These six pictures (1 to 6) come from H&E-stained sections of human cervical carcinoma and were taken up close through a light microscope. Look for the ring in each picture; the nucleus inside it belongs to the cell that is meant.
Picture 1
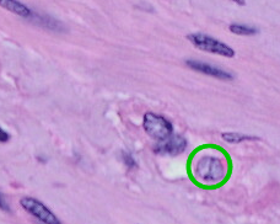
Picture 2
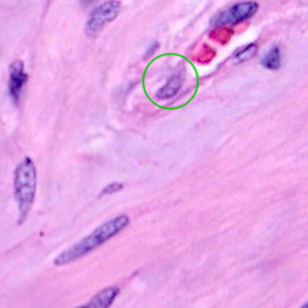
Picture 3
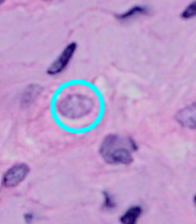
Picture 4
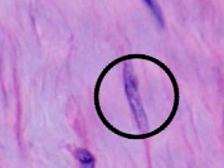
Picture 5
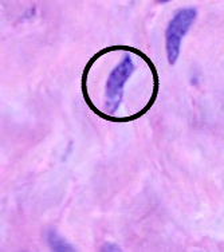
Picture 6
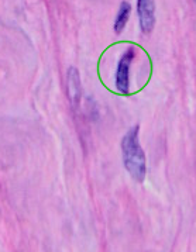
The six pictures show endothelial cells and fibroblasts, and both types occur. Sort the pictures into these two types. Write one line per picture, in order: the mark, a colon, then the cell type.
1: endothelial cell
2: endothelial cell
3: endothelial cell
4: fibroblast
5: fibroblast
6: fibroblast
